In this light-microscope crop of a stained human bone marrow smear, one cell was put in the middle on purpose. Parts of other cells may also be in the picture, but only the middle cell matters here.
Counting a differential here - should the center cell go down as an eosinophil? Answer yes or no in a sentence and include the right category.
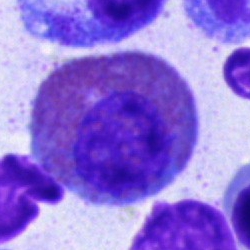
Yes, an eosinophil occupies the middle of the crop.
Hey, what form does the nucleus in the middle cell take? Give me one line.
Round, oval or kidney-shaped, the nucleus is one compact mass.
